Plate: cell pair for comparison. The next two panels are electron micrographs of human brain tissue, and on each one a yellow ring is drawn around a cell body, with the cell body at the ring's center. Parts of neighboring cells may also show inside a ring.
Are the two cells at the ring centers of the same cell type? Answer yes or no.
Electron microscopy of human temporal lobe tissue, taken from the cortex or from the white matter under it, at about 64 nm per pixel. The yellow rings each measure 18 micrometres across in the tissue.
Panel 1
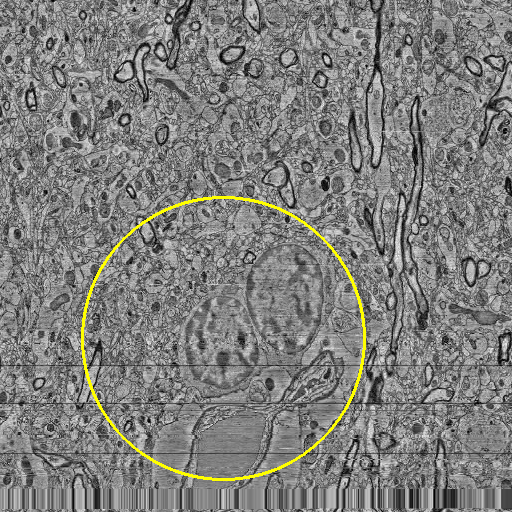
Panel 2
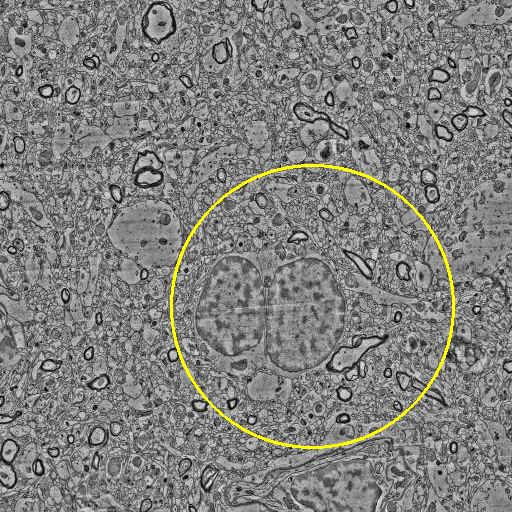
yes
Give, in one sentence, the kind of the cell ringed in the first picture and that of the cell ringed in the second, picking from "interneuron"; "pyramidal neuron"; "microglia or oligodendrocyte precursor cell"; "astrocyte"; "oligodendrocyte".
Each of the two rings is centred on an oligodendrocyte.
